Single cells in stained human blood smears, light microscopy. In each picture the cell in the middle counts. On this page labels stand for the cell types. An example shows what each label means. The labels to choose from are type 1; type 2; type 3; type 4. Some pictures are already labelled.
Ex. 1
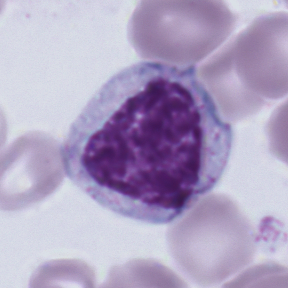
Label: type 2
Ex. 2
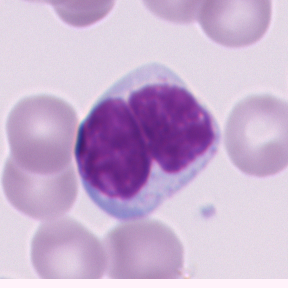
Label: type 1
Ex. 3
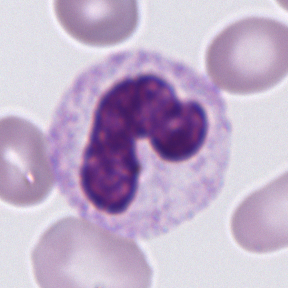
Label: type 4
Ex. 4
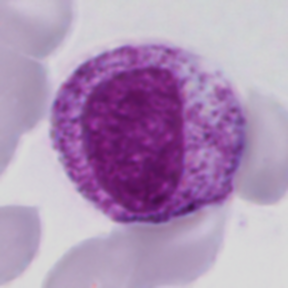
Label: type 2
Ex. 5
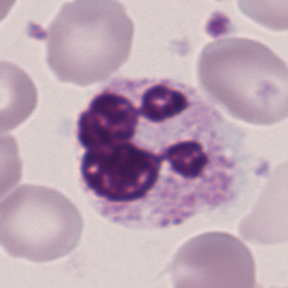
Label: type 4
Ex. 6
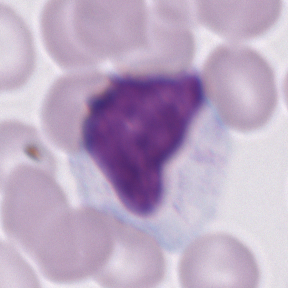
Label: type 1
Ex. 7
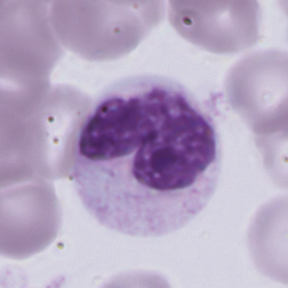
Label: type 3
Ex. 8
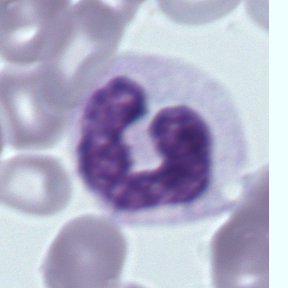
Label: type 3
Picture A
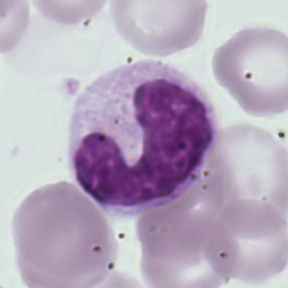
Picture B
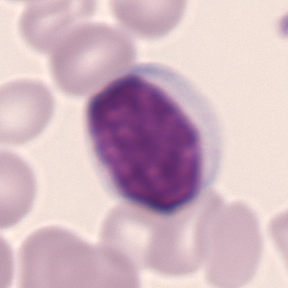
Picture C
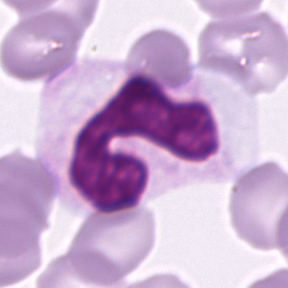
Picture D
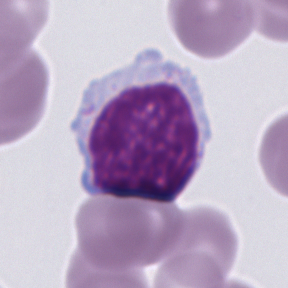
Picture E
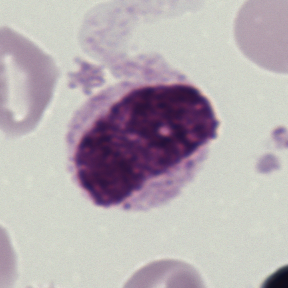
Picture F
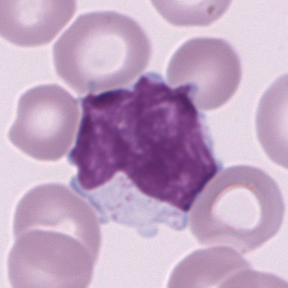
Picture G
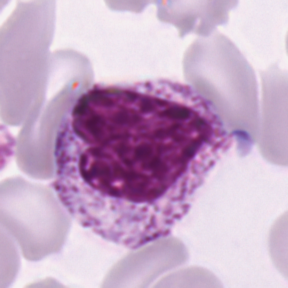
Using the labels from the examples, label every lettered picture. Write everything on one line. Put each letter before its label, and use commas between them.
A type 3, B type 1, C type 4, D type 1, E type 3, F type 1, G type 3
